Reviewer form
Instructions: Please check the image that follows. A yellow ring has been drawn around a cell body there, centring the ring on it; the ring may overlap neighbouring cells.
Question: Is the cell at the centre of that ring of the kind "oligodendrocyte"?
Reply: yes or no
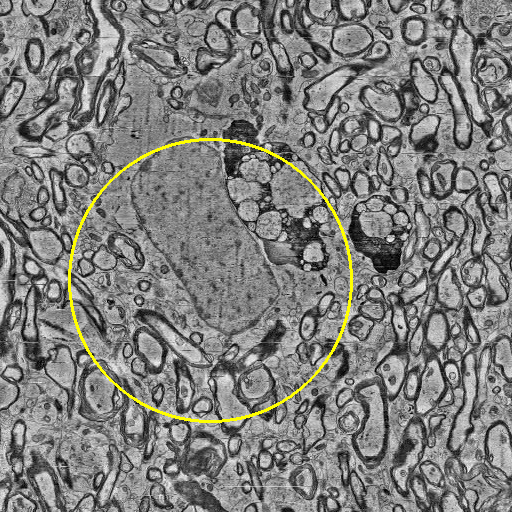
no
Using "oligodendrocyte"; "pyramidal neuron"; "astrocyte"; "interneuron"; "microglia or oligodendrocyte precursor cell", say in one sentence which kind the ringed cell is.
It is an astrocyte that the ring is centred on.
